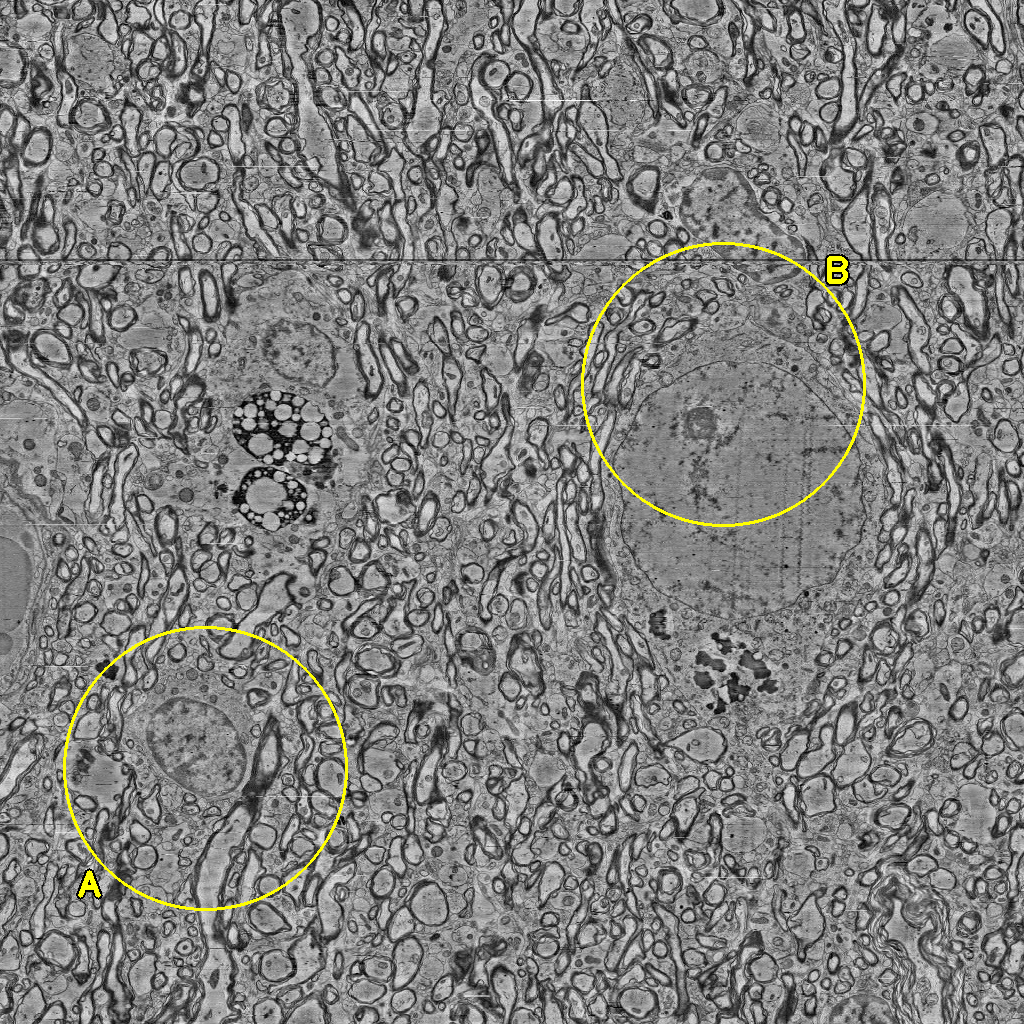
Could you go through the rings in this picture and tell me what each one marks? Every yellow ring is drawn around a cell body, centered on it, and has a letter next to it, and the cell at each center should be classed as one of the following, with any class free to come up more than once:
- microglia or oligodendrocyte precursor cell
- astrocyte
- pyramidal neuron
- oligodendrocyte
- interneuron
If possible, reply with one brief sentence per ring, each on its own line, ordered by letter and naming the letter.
The cell centered in ring A is an oligodendrocyte.
The cell centered in ring B is a pyramidal neuron.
